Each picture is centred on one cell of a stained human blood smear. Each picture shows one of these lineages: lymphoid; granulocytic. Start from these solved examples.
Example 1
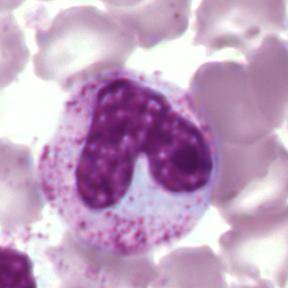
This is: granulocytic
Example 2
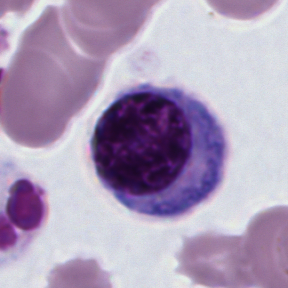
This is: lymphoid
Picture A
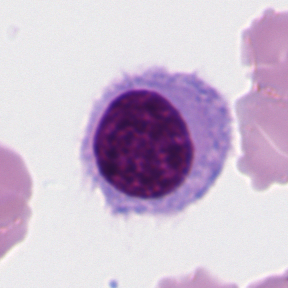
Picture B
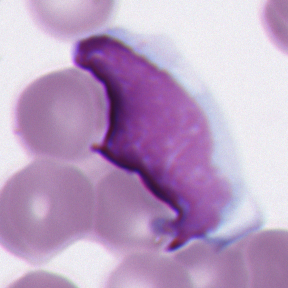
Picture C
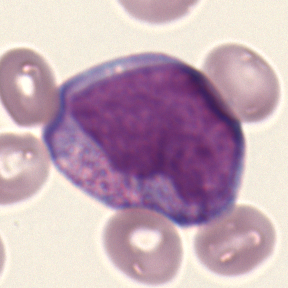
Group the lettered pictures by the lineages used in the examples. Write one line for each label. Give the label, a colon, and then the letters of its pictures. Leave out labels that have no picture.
lymphoid: A, B
granulocytic: C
